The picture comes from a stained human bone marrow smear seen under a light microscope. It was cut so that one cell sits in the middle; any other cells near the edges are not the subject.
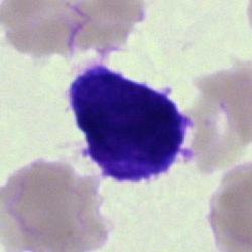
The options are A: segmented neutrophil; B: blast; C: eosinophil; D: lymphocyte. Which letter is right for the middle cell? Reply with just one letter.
B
